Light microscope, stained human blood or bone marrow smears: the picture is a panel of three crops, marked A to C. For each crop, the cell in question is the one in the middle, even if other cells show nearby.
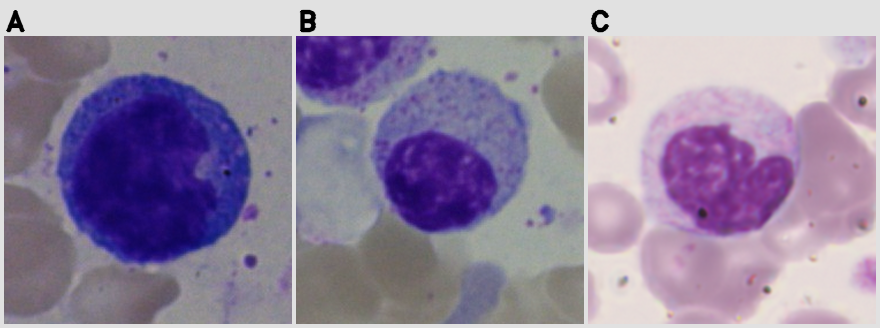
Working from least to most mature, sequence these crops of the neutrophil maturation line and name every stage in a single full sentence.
Placed in order of rising maturity, the crops stand as crop A (a promyelocyte), crop B (a myelocyte) and crop C (a band neutrophil).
